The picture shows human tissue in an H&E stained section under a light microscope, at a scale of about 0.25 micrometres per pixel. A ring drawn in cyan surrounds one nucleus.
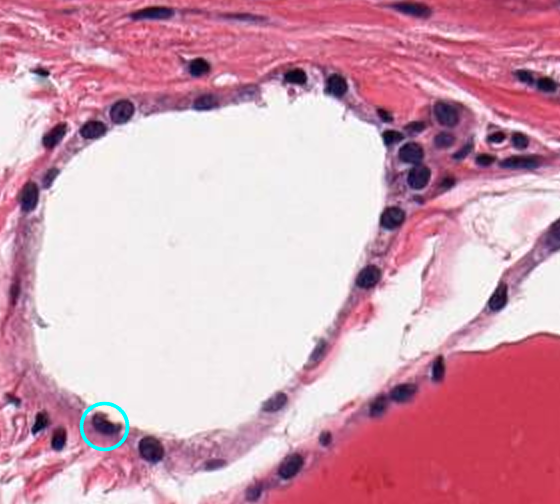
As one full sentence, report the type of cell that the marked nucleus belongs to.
To a thyroid follicular cell belongs the marked nucleus.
